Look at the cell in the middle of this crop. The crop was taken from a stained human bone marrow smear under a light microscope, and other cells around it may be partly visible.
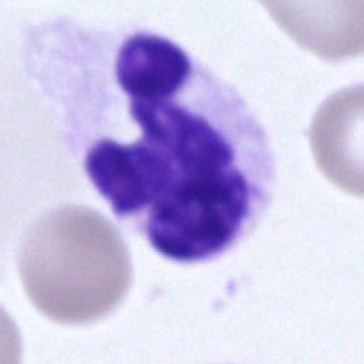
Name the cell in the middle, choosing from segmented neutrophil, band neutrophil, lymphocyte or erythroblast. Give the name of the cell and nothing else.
segmented neutrophil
